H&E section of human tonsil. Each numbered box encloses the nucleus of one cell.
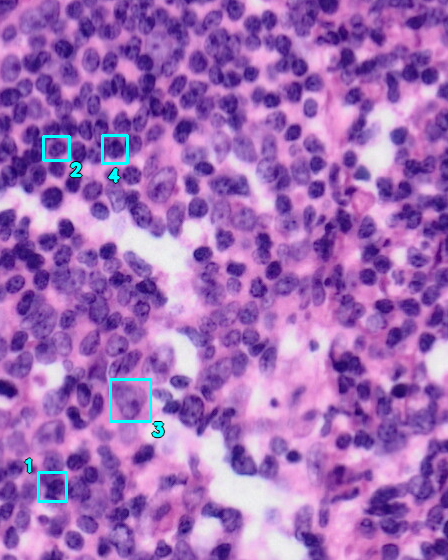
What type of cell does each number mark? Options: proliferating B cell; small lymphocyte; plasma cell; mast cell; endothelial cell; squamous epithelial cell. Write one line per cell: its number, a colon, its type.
1: proliferating B cell
2: small lymphocyte
3: proliferating B cell
4: small lymphocyte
